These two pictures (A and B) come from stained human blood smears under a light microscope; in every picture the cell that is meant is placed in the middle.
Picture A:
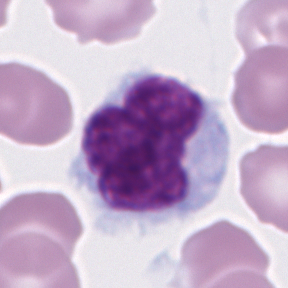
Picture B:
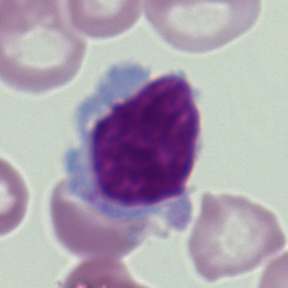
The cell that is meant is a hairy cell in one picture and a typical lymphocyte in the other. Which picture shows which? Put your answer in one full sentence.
Picture B shows a typical lymphocyte, while picture A shows a hairy cell.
